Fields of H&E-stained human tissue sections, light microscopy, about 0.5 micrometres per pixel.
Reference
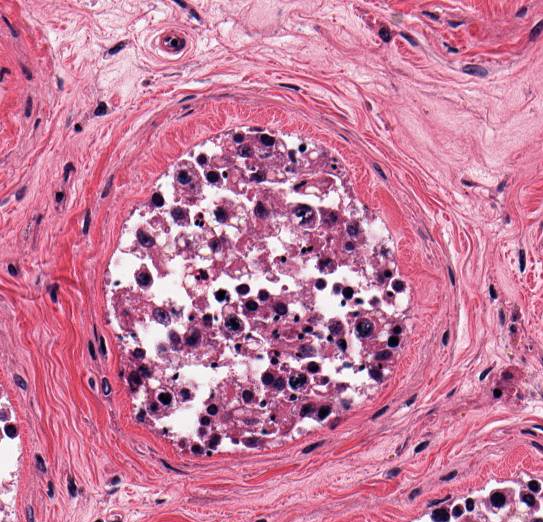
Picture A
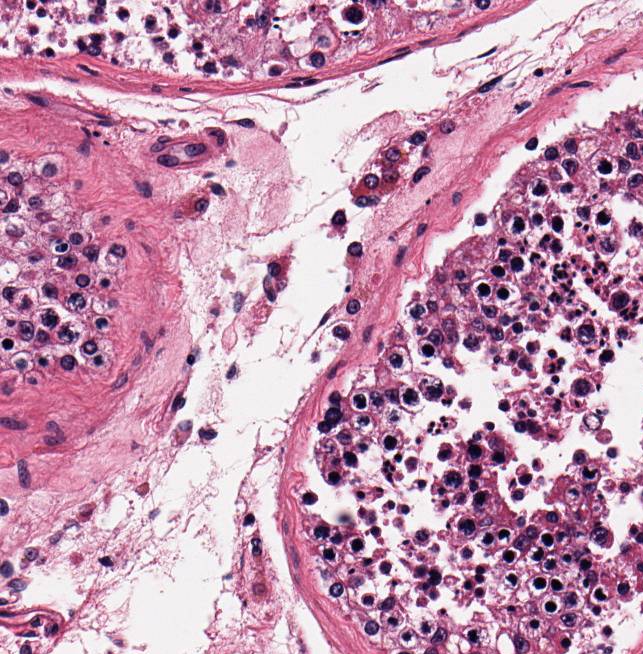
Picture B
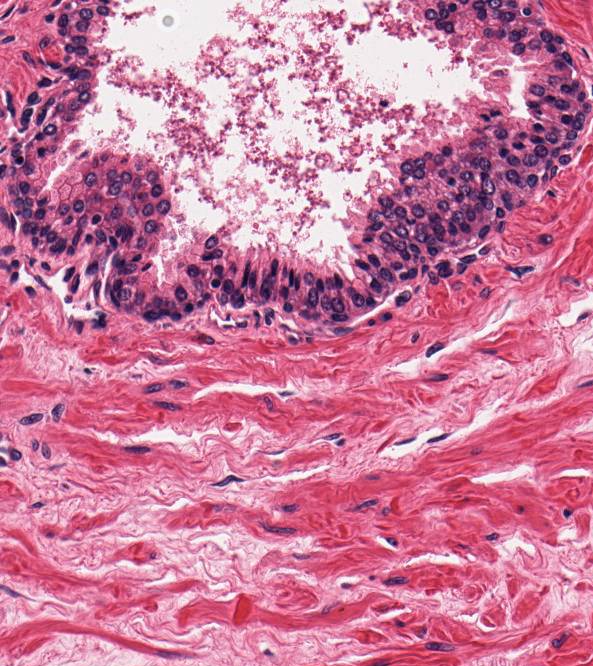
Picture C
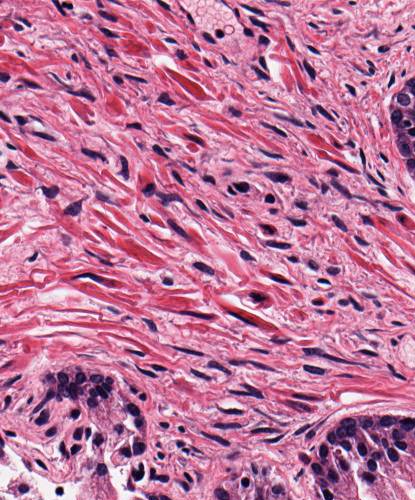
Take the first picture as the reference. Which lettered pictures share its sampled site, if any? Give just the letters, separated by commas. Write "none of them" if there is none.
A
